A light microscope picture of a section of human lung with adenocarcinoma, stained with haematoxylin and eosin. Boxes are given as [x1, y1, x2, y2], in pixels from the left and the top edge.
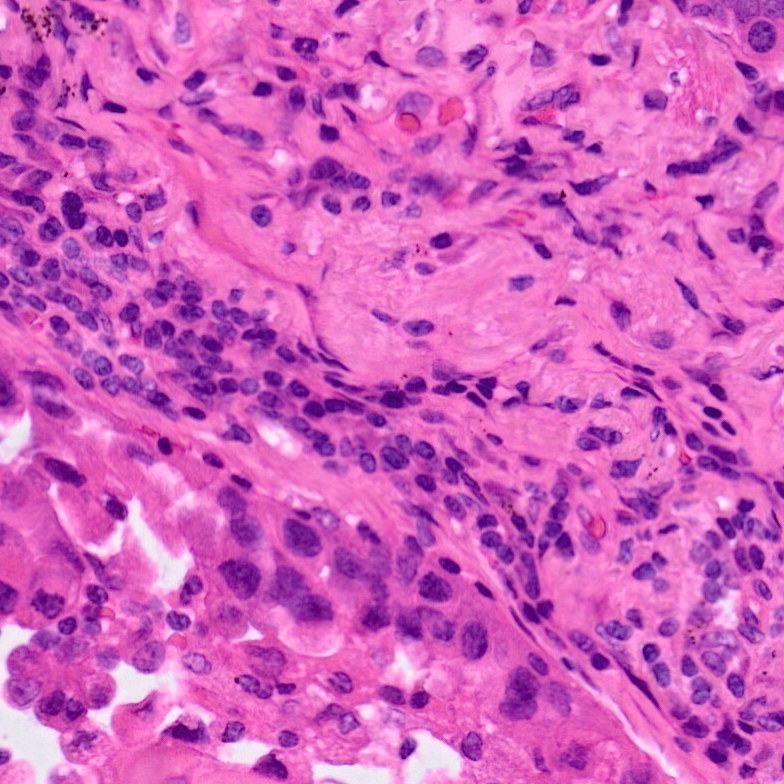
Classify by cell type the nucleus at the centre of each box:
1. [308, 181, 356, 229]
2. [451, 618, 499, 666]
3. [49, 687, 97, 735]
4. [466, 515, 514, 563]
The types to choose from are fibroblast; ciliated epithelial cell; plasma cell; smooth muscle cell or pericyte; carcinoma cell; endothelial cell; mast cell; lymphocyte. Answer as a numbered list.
1. lymphocyte
2. carcinoma cell
3. carcinoma cell
4. lymphocyte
